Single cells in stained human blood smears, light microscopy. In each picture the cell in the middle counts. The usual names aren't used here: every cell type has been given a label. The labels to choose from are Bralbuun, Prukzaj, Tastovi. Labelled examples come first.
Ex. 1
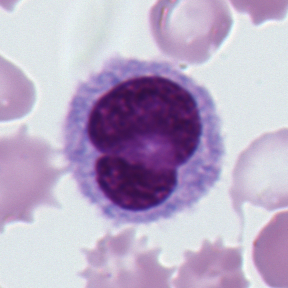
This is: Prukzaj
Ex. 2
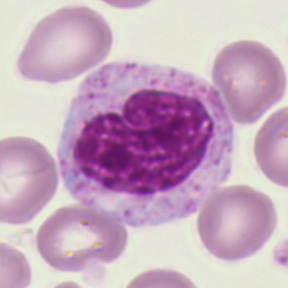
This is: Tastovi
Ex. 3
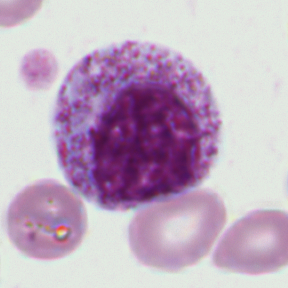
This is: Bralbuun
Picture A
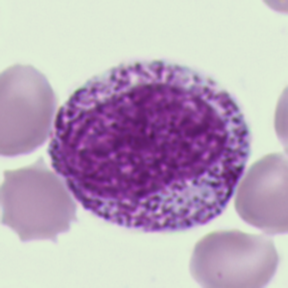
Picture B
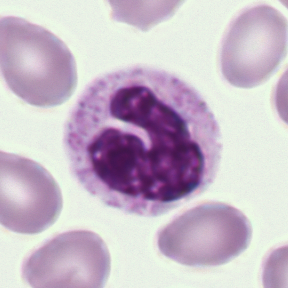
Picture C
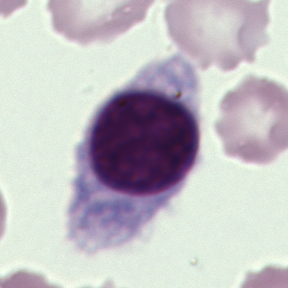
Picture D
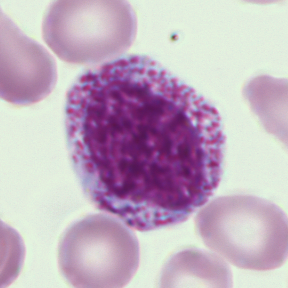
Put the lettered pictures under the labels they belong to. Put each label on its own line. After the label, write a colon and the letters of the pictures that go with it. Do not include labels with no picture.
Bralbuun: A, D
Prukzaj: C
Tastovi: B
